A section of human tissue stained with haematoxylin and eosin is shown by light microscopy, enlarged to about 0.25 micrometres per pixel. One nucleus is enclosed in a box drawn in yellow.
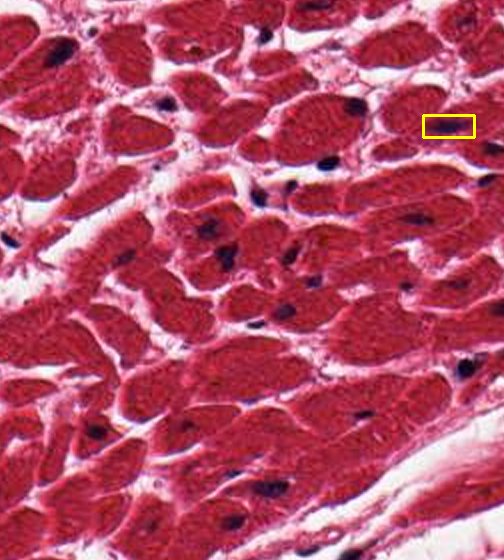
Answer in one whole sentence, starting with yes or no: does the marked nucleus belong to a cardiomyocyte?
Yes, the marked nucleus is that of a cardiomyocyte in this section.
